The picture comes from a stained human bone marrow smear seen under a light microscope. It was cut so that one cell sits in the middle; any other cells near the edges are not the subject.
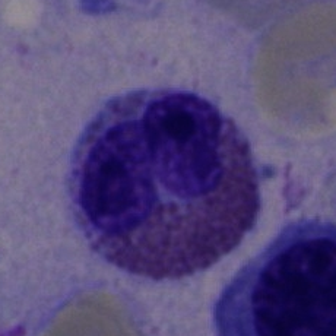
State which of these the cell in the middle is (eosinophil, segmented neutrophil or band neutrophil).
eosinophil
